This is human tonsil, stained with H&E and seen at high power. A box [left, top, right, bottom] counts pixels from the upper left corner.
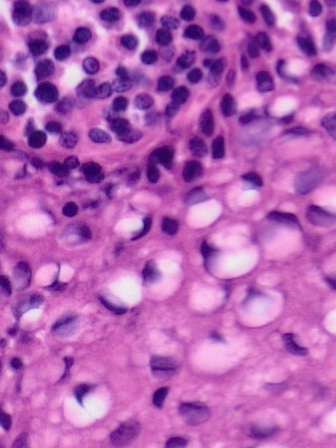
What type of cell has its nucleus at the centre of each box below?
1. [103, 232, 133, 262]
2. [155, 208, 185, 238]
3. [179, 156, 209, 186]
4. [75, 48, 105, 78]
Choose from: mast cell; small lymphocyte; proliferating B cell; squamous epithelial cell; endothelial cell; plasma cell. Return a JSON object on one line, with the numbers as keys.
{"1": "squamous epithelial cell", "2": "squamous epithelial cell", "3": "squamous epithelial cell", "4": "plasma cell"}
